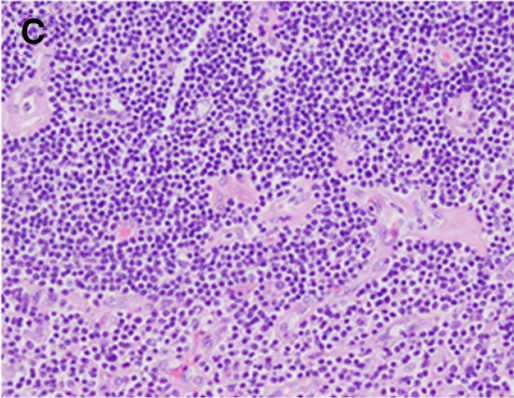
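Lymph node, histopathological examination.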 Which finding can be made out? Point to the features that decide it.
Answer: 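Many small vessels cross the field between the lymphoid cells. The vessel walls and the tissue around them are thick, glassy and homogeneously pink. Densely packed small round dark nuclei surround the vessels. On this evidence: perivascular hyalinization.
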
